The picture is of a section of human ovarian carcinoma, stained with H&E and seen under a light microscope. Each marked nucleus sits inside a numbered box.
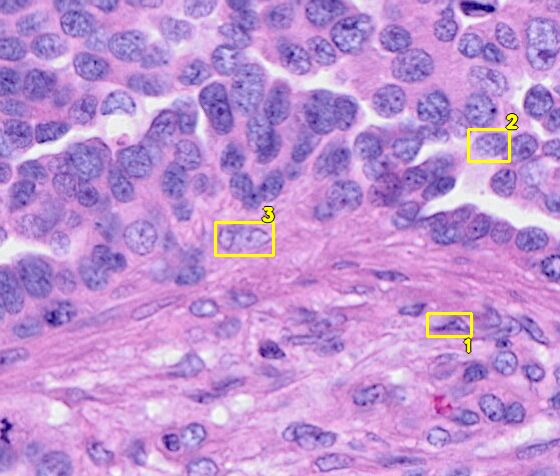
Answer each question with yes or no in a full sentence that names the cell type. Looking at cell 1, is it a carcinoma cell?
No, the cell at marker 1 is not a carcinoma cell; it is a fibroblast.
